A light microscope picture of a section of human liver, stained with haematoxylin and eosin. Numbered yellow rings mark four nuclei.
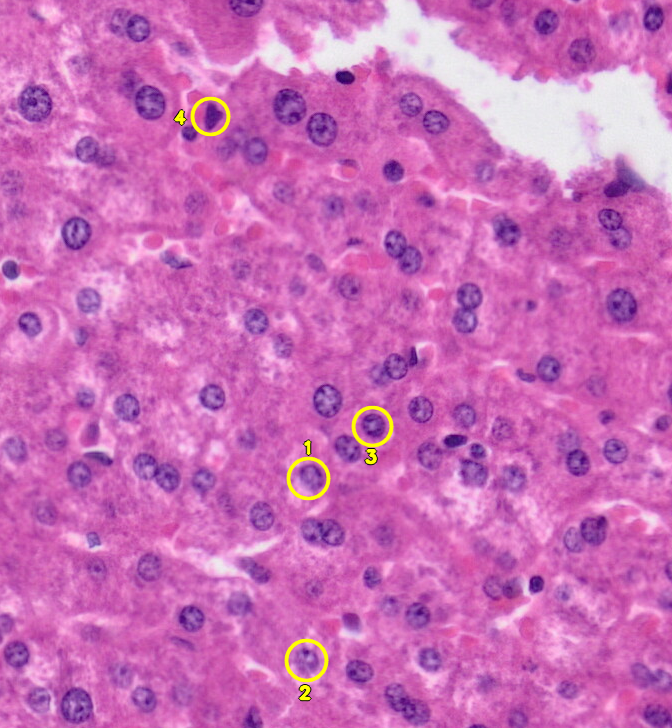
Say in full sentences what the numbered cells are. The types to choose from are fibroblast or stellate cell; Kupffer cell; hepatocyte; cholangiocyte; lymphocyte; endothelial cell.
Cells 1, 2 and 3 are hepatocytes. Cell 4 is a fibroblast or stellate cell.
